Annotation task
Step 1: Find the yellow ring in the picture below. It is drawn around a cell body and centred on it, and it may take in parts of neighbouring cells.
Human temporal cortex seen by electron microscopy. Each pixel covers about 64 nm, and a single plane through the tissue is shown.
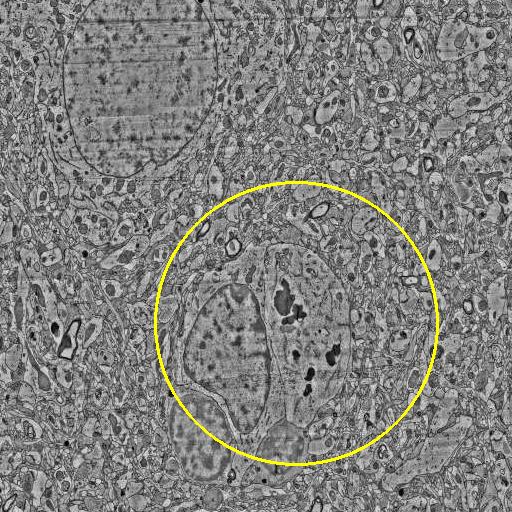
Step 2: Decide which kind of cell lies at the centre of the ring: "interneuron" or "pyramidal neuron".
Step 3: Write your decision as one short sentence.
The kind of cell at the ring's centre is an interneuron.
